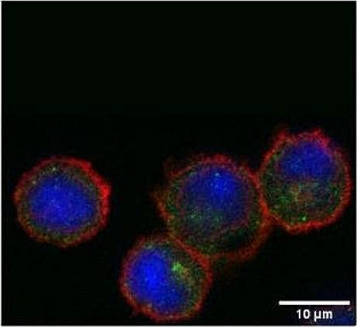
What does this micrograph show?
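The cell surface is outlined by a continuous red rim with a slightly irregular, ruffled edge. Sparse, fine green dots are scattered through the cytoplasm, and a few small clusters lie close to the nucleus.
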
